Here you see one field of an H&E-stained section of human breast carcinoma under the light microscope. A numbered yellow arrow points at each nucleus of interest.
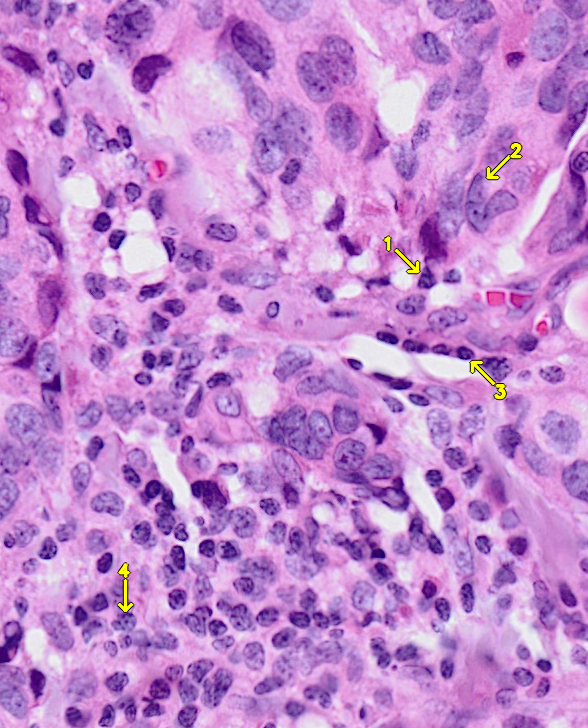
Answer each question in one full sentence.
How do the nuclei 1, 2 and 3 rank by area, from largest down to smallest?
Largest first, the order by area is 2, 1, 3.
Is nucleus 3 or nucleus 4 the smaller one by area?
Nucleus 3 is the smaller one; nucleus 4 covers about 2 times its area.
